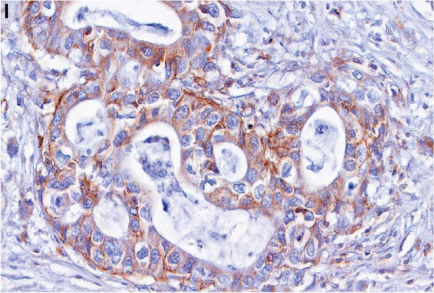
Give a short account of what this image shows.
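The tumour cells are large, with round to oval blue nuclei, some showing visible nucleoli, and moderate amounts of cytoplasm. Brown stain outlines the borders between neighbouring cells in a honeycomb pattern and tints the cytoplasm lightly. Some lumens are lined by cells crowded into several layers.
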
